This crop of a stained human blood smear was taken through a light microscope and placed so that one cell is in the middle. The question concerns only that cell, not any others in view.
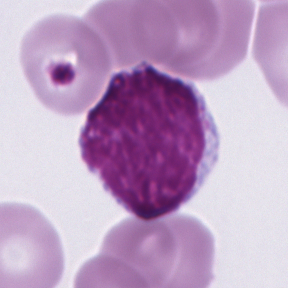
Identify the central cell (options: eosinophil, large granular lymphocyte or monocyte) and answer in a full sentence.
Occupying the centre of the crop is a large granular lymphocyte.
